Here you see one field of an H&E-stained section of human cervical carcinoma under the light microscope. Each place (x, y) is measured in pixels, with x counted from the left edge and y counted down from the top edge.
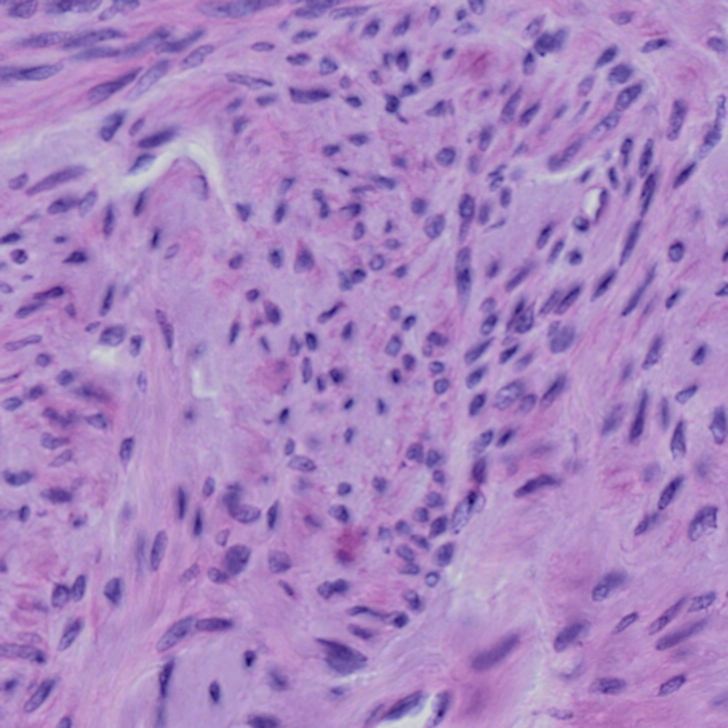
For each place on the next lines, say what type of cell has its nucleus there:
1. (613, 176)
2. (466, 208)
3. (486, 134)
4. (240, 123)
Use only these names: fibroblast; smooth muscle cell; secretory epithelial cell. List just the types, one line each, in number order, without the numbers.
fibroblast
smooth muscle cell
smooth muscle cell
smooth muscle cell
